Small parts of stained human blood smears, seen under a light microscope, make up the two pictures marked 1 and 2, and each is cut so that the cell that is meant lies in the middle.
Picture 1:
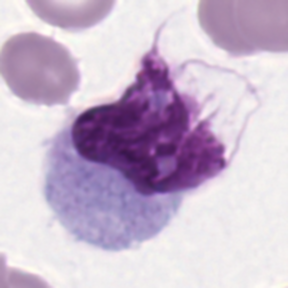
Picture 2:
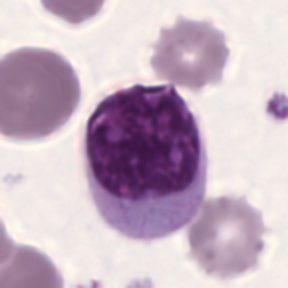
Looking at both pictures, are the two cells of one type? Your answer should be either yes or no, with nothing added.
yes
